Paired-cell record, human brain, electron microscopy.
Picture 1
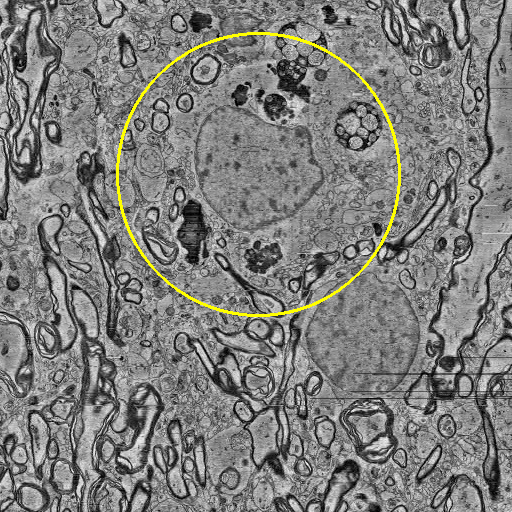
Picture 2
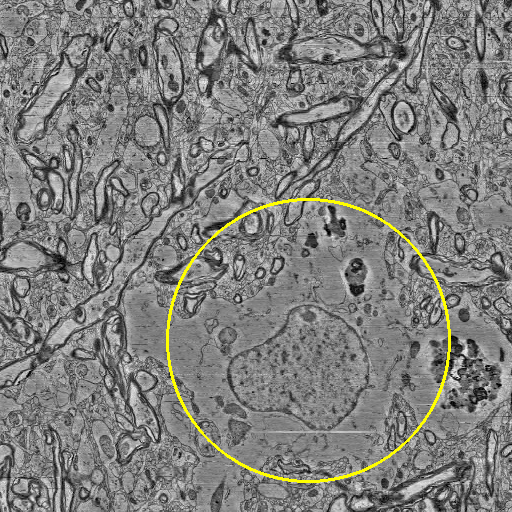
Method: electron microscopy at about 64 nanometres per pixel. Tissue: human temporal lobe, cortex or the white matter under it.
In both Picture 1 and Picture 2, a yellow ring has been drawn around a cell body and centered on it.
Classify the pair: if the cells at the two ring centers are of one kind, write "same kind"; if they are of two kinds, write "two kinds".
same kind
